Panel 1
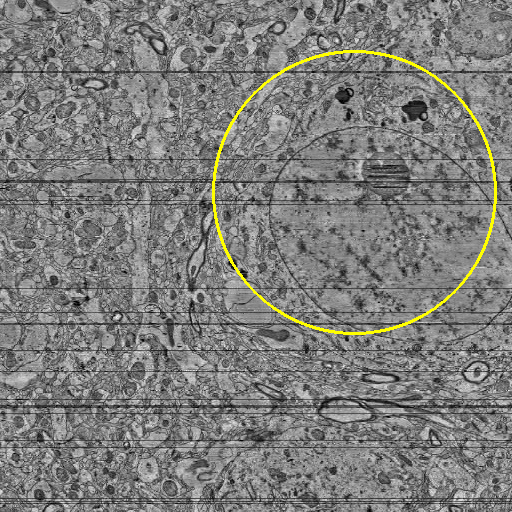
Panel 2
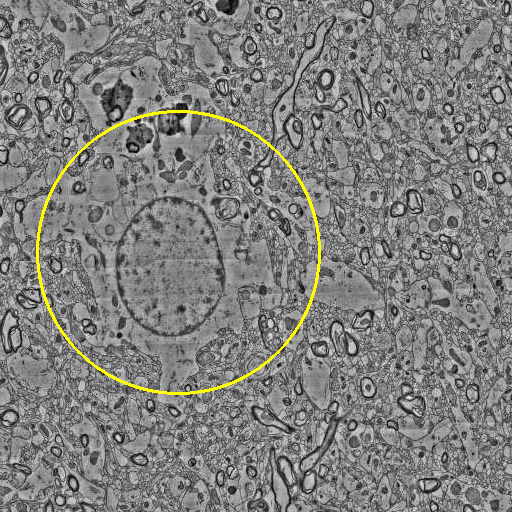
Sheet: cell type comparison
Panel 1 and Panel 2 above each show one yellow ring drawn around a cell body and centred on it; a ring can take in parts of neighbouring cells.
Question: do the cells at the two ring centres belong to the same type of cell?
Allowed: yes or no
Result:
no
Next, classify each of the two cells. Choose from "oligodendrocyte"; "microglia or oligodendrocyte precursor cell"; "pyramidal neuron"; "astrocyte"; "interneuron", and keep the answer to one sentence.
In the first picture it is a pyramidal neuron; in the second it is an astrocyte.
